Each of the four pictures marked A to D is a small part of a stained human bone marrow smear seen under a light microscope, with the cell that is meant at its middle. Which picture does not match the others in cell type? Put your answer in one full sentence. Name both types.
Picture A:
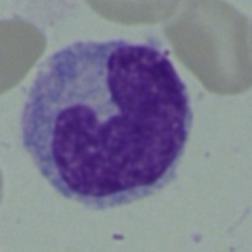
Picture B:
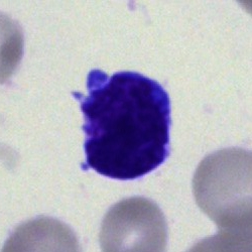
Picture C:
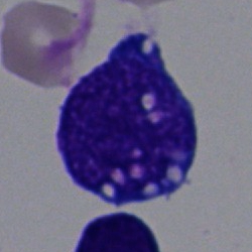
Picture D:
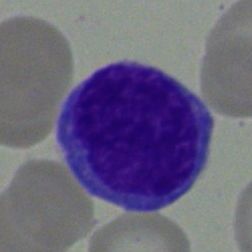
The others show blasts, but picture A shows a monocyte.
